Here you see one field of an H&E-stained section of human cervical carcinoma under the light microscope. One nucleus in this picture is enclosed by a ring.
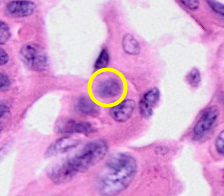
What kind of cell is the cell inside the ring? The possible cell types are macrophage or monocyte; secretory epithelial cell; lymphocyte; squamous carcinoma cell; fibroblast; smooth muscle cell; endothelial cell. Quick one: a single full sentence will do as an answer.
Considered by cell type, the cell inside the ring is a squamous carcinoma cell.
